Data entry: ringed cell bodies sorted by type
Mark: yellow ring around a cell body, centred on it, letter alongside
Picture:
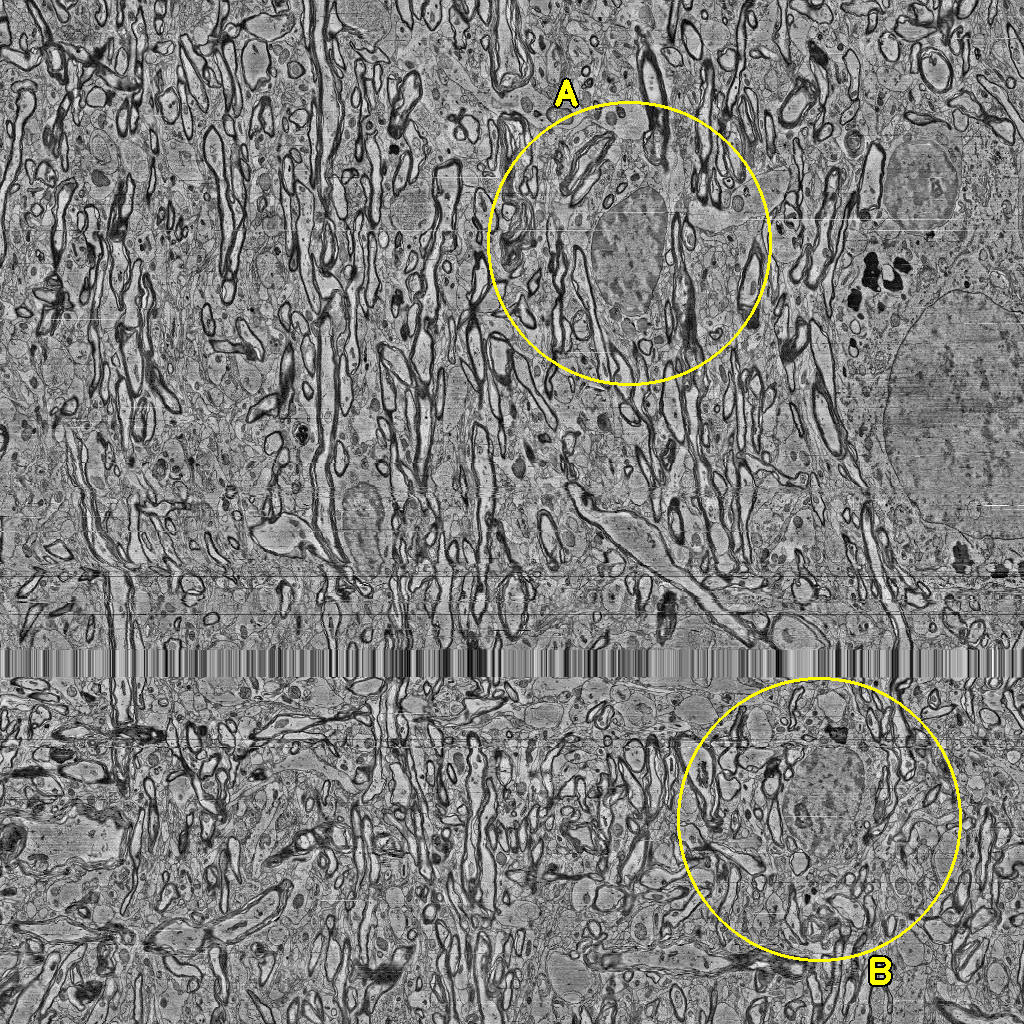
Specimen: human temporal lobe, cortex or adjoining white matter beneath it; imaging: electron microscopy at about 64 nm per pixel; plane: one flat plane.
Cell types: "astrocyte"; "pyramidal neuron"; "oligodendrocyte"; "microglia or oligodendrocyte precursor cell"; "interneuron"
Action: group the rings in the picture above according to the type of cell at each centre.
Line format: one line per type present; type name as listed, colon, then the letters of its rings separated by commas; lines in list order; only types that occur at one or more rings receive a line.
oligodendrocyte: B
microglia or oligodendrocyte precursor cell: A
